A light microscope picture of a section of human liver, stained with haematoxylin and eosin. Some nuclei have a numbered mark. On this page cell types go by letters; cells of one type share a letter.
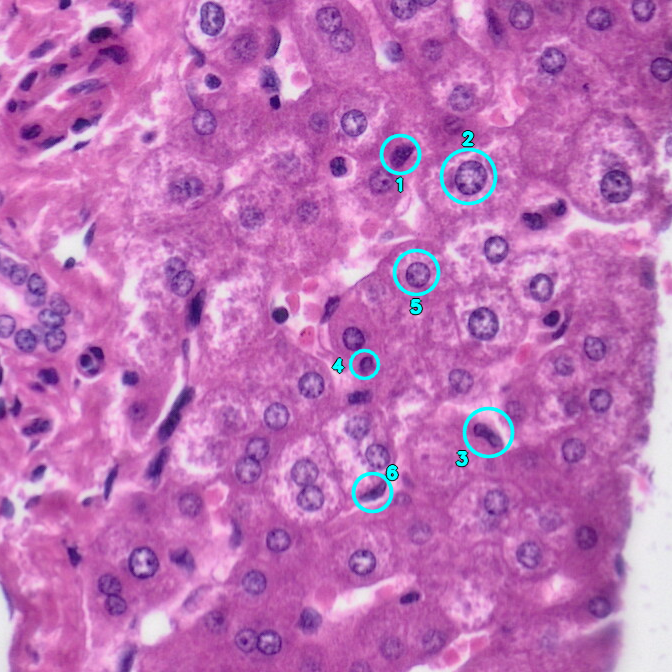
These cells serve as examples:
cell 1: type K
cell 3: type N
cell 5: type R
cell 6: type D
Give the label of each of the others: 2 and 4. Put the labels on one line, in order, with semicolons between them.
type R; type K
